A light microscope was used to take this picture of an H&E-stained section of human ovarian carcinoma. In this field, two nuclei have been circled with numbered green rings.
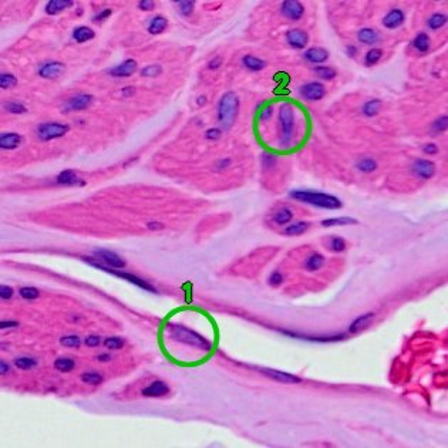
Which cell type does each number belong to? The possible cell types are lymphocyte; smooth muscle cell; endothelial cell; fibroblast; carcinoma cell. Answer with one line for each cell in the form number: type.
1: endothelial cell
2: smooth muscle cell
